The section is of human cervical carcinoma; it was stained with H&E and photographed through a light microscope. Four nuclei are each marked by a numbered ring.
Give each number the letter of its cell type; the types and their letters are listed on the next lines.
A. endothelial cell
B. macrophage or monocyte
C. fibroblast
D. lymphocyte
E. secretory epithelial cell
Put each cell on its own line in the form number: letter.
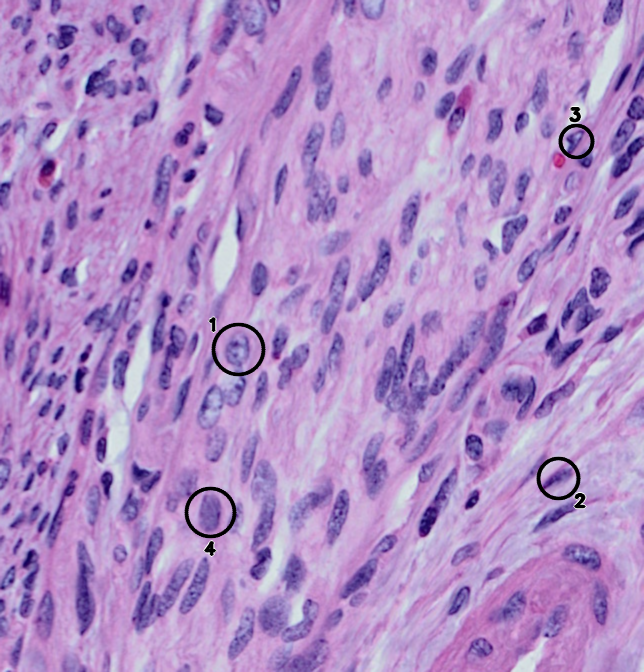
1: A
2: C
3: A
4: C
